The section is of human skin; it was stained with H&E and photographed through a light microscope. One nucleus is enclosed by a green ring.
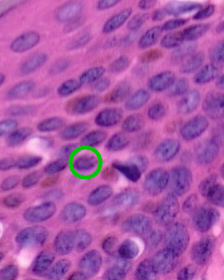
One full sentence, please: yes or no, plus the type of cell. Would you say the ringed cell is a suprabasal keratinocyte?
No, the ringed cell is a basal keratinocyte; calling it a suprabasal keratinocyte would be wrong.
